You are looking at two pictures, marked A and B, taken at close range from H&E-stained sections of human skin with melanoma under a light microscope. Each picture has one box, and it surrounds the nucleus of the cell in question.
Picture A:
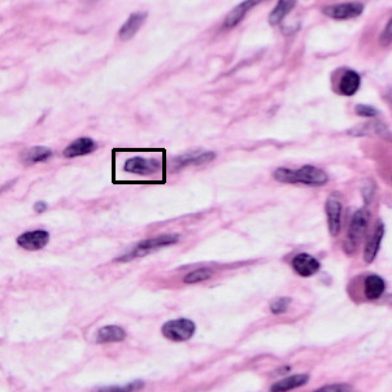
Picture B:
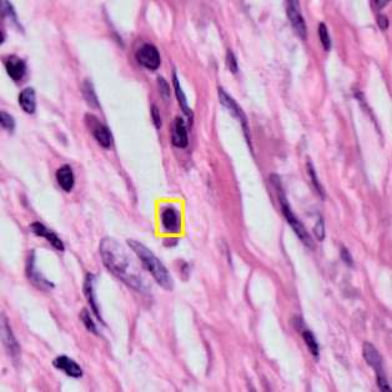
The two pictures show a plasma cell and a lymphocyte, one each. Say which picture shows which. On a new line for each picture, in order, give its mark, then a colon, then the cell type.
A: lymphocyte
B: plasma cell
